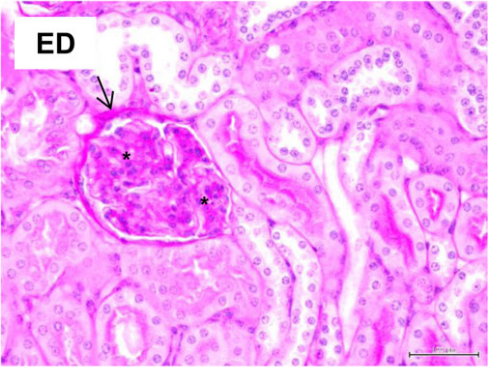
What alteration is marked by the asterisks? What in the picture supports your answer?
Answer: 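Mesangial thickening. The asterisks lie inside the glomerular tuft. Around them the tuft holds expanded pink-magenta matrix between crowded nuclei.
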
